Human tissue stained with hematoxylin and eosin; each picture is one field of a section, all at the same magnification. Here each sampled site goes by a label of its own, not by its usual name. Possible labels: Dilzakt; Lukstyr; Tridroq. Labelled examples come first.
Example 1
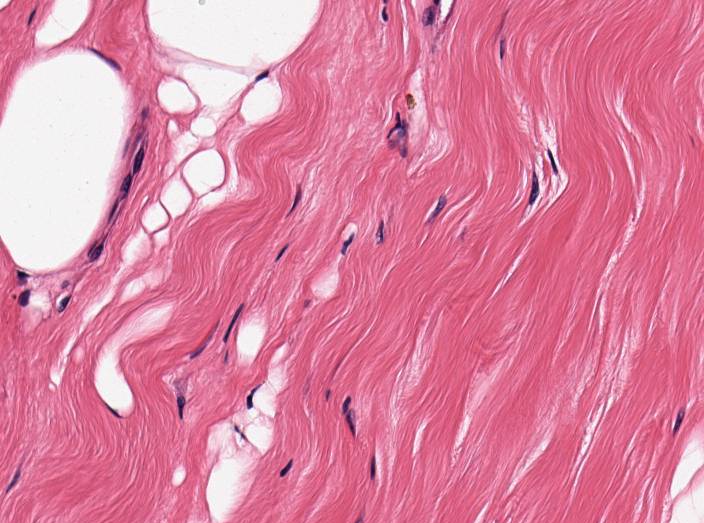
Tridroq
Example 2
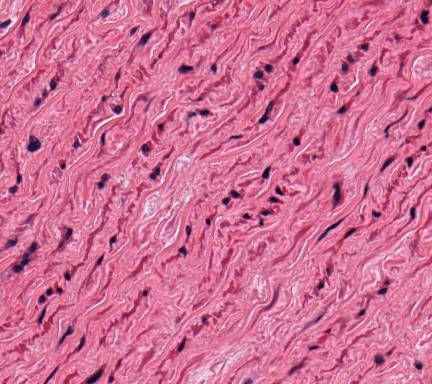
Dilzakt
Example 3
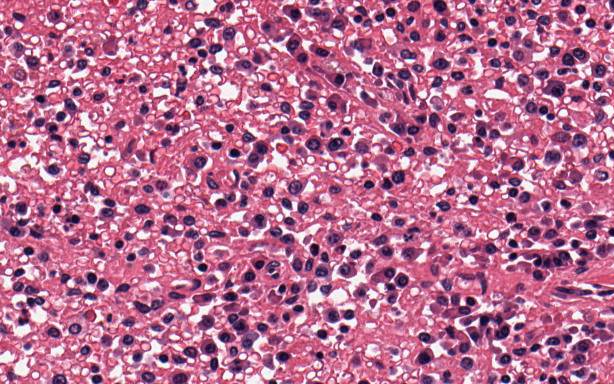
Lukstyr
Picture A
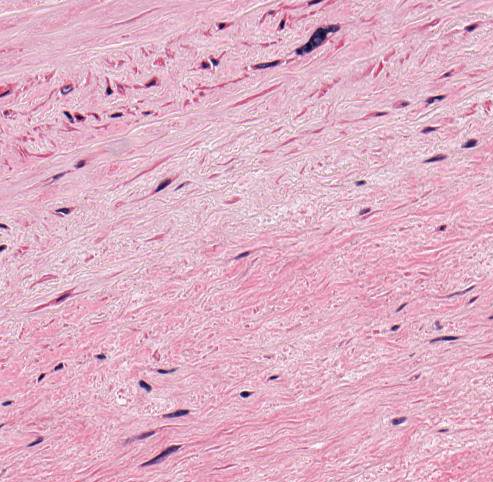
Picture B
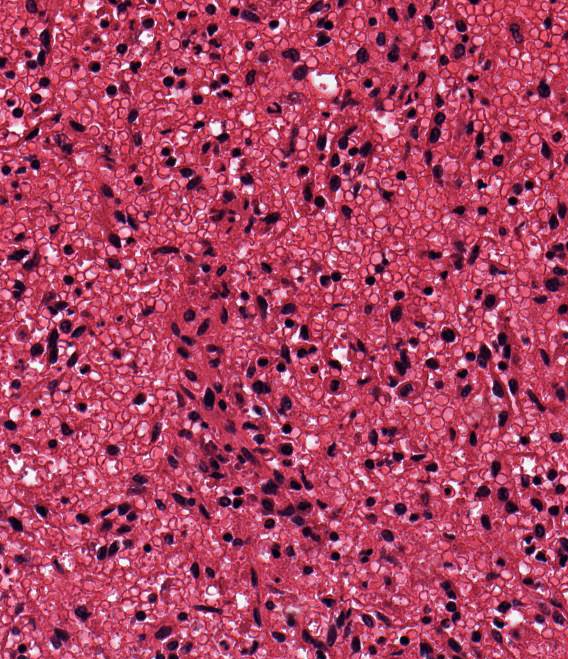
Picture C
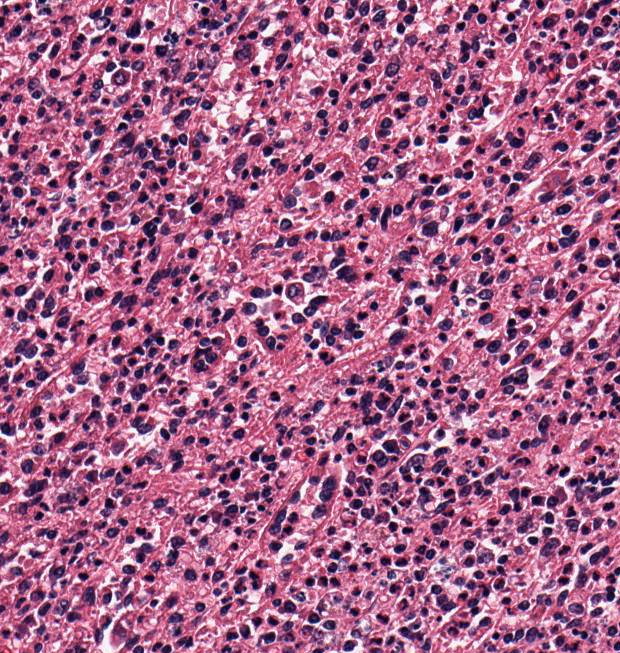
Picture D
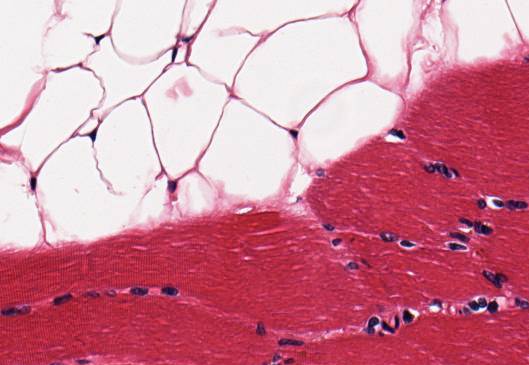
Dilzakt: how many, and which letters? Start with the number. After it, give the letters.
1: A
